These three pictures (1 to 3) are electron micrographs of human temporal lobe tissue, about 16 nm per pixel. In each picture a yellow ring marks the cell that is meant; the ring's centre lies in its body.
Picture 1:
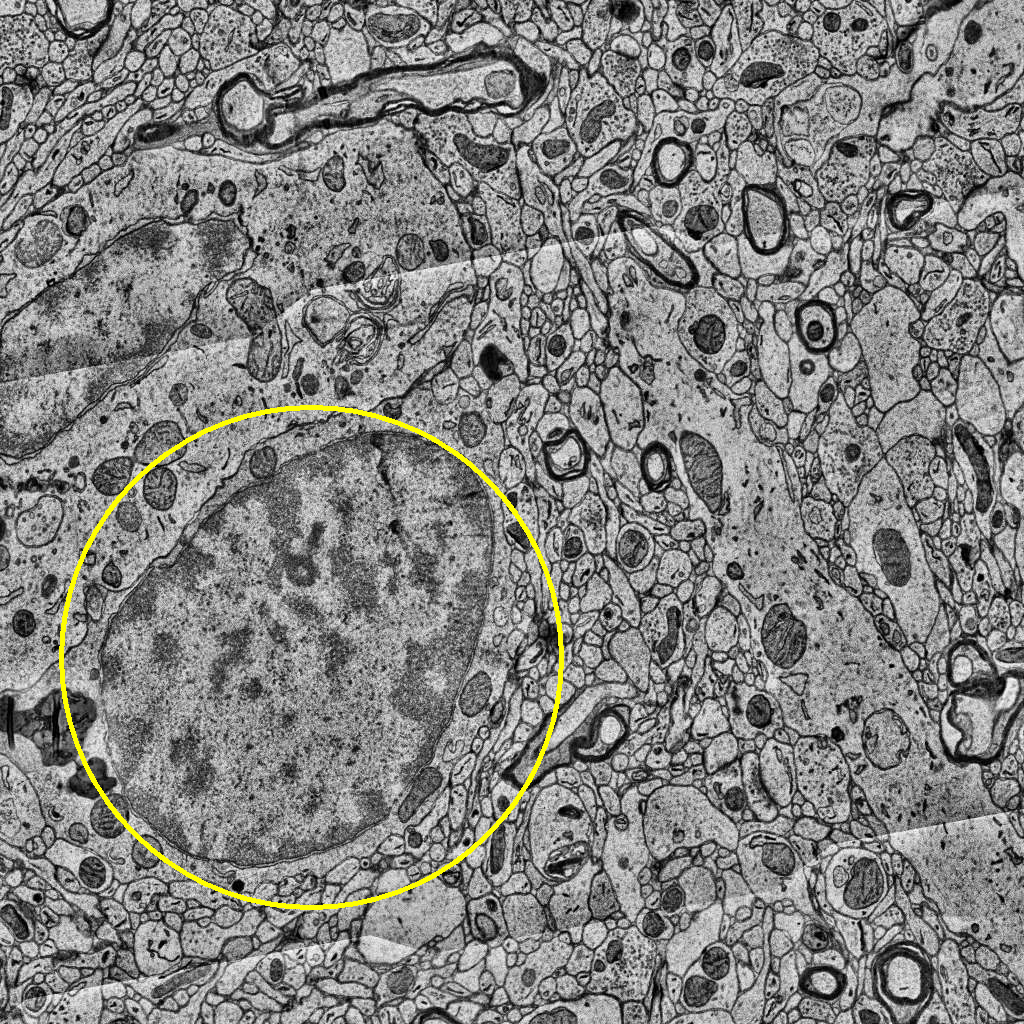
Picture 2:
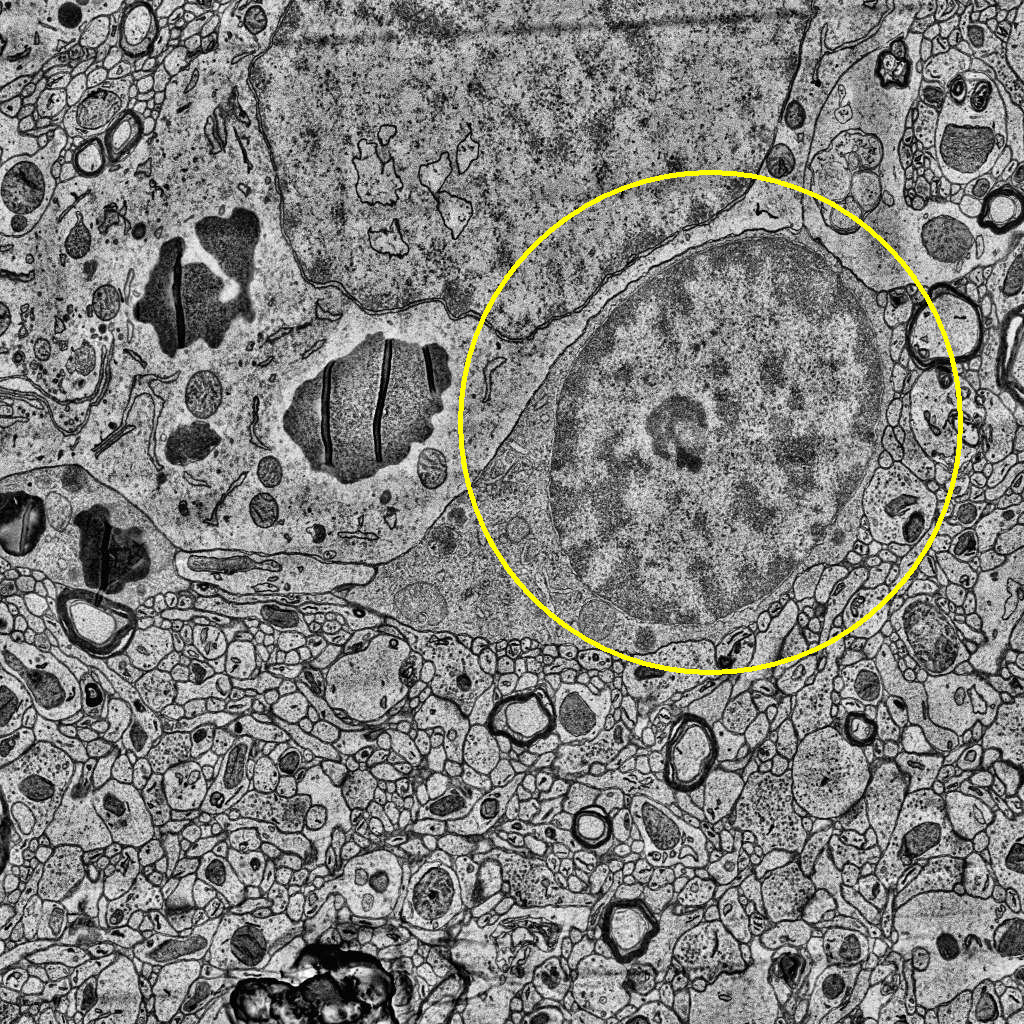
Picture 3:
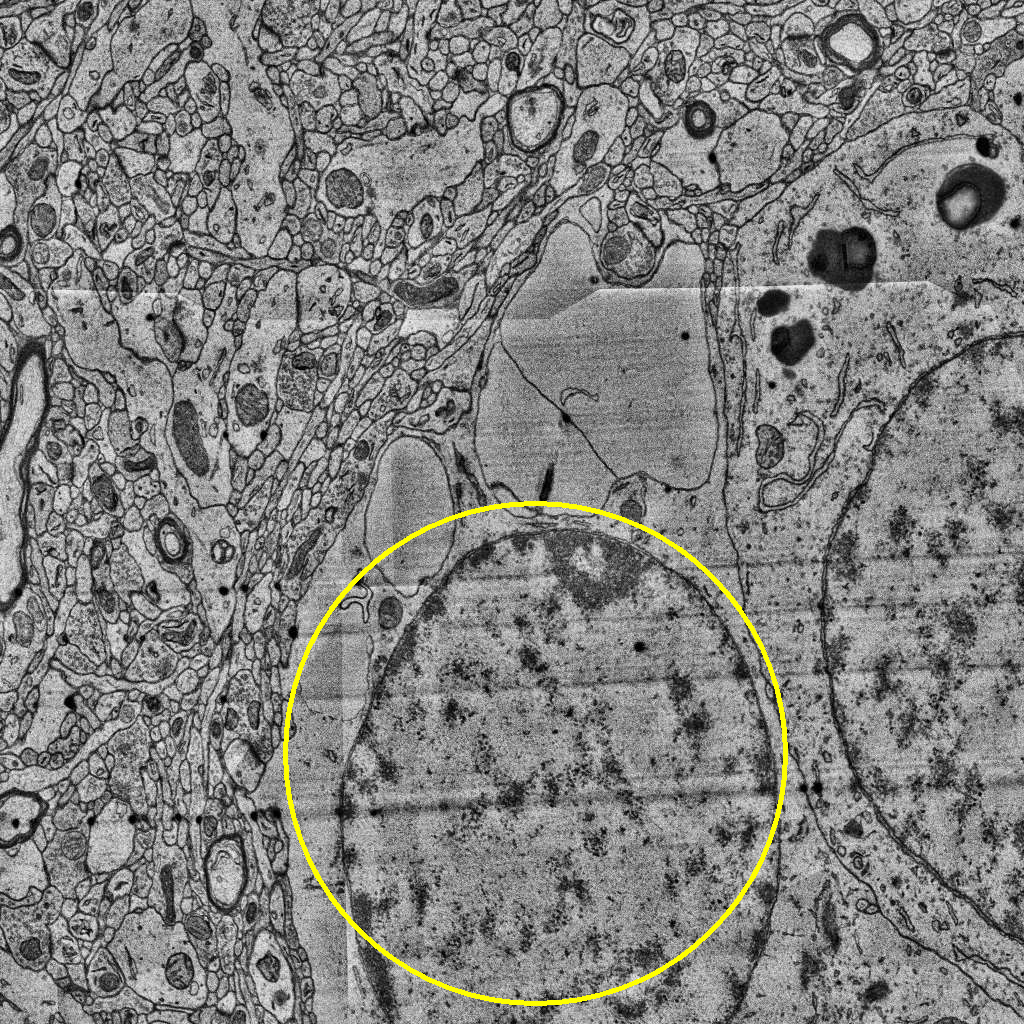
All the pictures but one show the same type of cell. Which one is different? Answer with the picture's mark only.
3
